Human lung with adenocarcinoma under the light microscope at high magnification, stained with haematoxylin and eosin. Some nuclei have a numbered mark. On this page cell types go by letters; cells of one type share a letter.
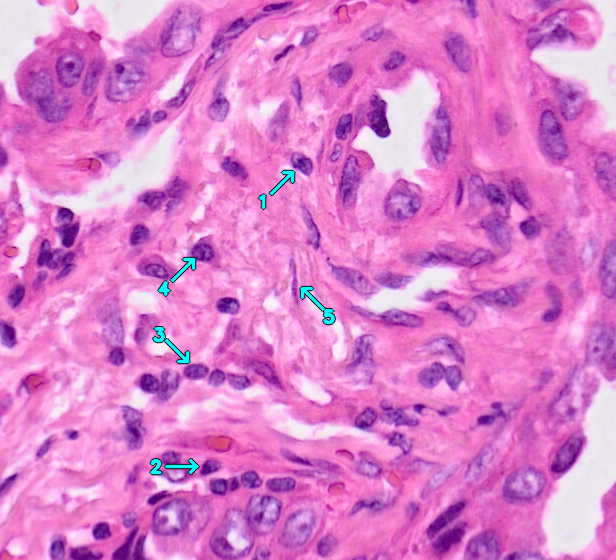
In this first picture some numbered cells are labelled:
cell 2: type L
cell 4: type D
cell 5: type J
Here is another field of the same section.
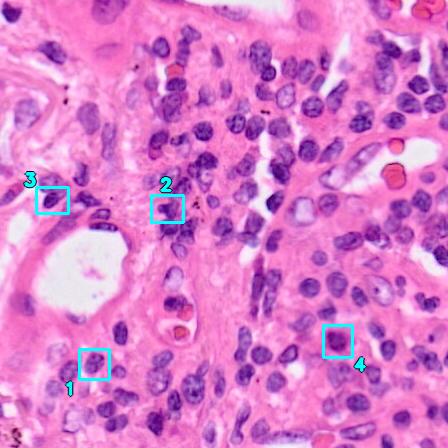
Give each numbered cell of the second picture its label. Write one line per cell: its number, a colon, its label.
1: type L
2: type L
3: type L
4: type D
